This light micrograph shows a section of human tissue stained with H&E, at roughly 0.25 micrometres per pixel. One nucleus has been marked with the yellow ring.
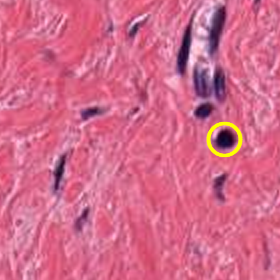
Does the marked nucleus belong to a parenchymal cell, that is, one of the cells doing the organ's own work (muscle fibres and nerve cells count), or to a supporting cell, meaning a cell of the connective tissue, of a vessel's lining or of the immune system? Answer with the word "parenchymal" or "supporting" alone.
supporting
